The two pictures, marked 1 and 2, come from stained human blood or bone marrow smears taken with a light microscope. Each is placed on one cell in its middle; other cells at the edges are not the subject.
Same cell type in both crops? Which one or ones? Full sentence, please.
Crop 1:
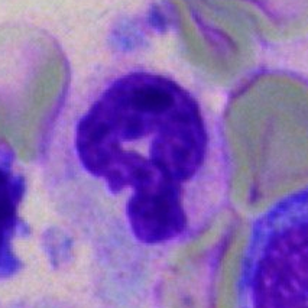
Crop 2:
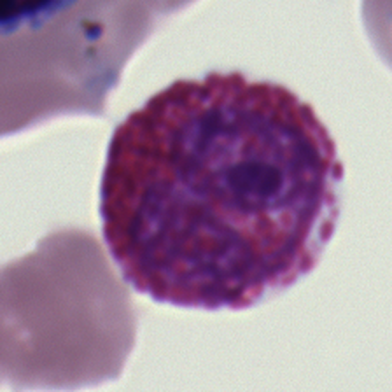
No, a segmented neutrophil is what crop 1 shows, and an eosinophil is what crop 2 shows.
